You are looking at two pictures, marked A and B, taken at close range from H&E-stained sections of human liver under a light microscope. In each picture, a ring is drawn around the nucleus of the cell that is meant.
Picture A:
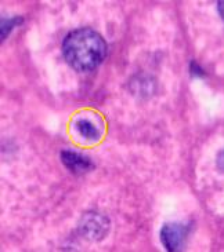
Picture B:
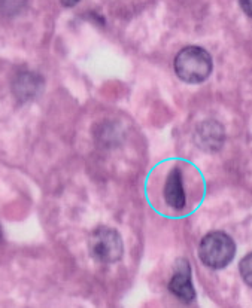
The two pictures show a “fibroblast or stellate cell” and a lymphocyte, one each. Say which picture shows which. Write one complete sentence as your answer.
Picture A is of a lymphocyte, and picture B is of a “fibroblast or stellate cell”.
